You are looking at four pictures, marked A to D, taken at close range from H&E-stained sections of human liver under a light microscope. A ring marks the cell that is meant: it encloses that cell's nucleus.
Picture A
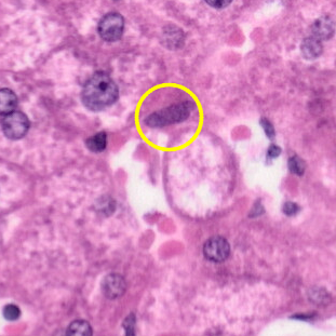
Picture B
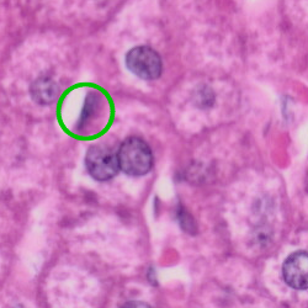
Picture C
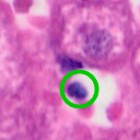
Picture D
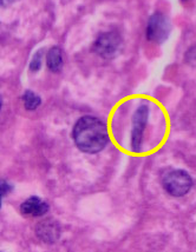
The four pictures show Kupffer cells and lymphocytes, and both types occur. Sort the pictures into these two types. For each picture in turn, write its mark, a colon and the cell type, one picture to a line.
A: Kupffer cell
B: Kupffer cell
C: lymphocyte
D: Kupffer cell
